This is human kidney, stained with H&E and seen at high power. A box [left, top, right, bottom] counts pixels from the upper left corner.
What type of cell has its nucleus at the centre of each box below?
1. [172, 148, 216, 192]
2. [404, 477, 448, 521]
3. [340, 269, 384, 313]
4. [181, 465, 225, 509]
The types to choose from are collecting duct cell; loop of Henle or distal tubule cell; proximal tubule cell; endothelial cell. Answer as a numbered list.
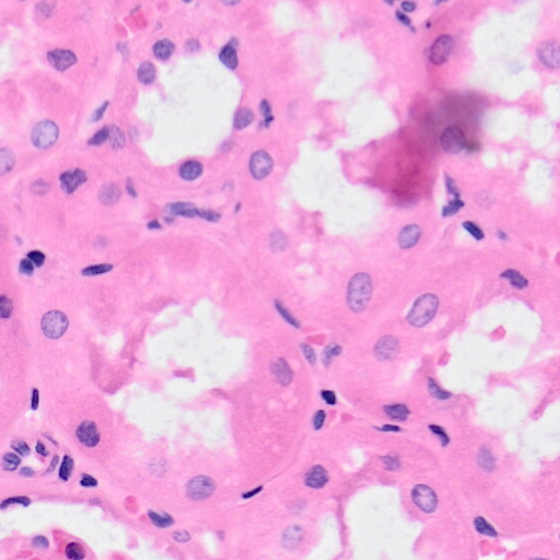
1. loop of Henle or distal tubule cell
2. proximal tubule cell
3. proximal tubule cell
4. proximal tubule cell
